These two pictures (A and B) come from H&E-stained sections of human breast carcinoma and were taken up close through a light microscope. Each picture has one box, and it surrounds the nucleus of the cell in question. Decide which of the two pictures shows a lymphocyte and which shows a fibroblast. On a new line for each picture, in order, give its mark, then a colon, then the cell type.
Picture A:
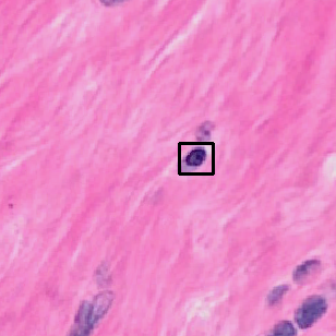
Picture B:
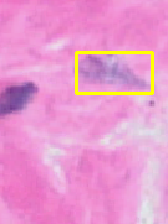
A: lymphocyte
B: fibroblast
